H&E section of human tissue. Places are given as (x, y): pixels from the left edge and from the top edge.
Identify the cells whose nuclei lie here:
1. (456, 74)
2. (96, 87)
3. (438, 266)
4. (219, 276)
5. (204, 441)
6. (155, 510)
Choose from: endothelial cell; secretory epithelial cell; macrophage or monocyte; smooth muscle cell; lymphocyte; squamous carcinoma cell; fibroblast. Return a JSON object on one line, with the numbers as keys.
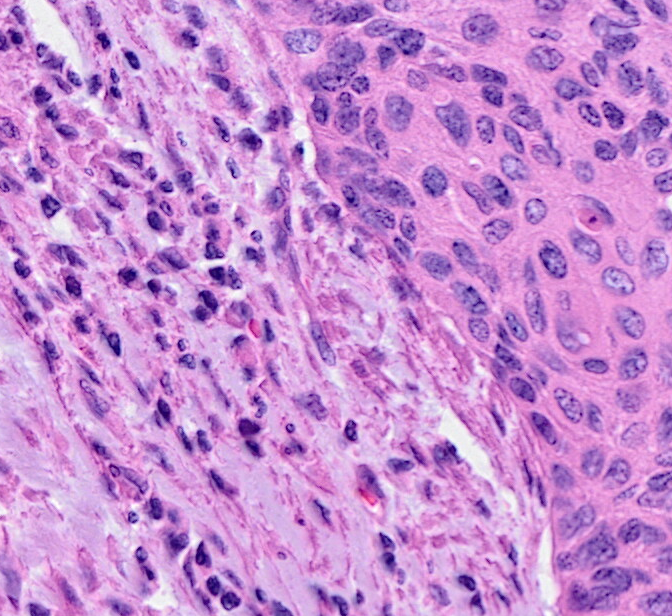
{"1": "squamous carcinoma cell", "2": "lymphocyte", "3": "squamous carcinoma cell", "4": "lymphocyte", "5": "lymphocyte", "6": "lymphocyte"}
